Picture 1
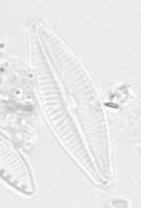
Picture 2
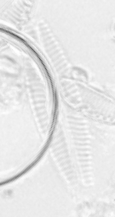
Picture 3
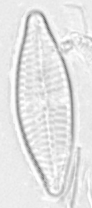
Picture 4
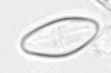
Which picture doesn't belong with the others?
Picture 4.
